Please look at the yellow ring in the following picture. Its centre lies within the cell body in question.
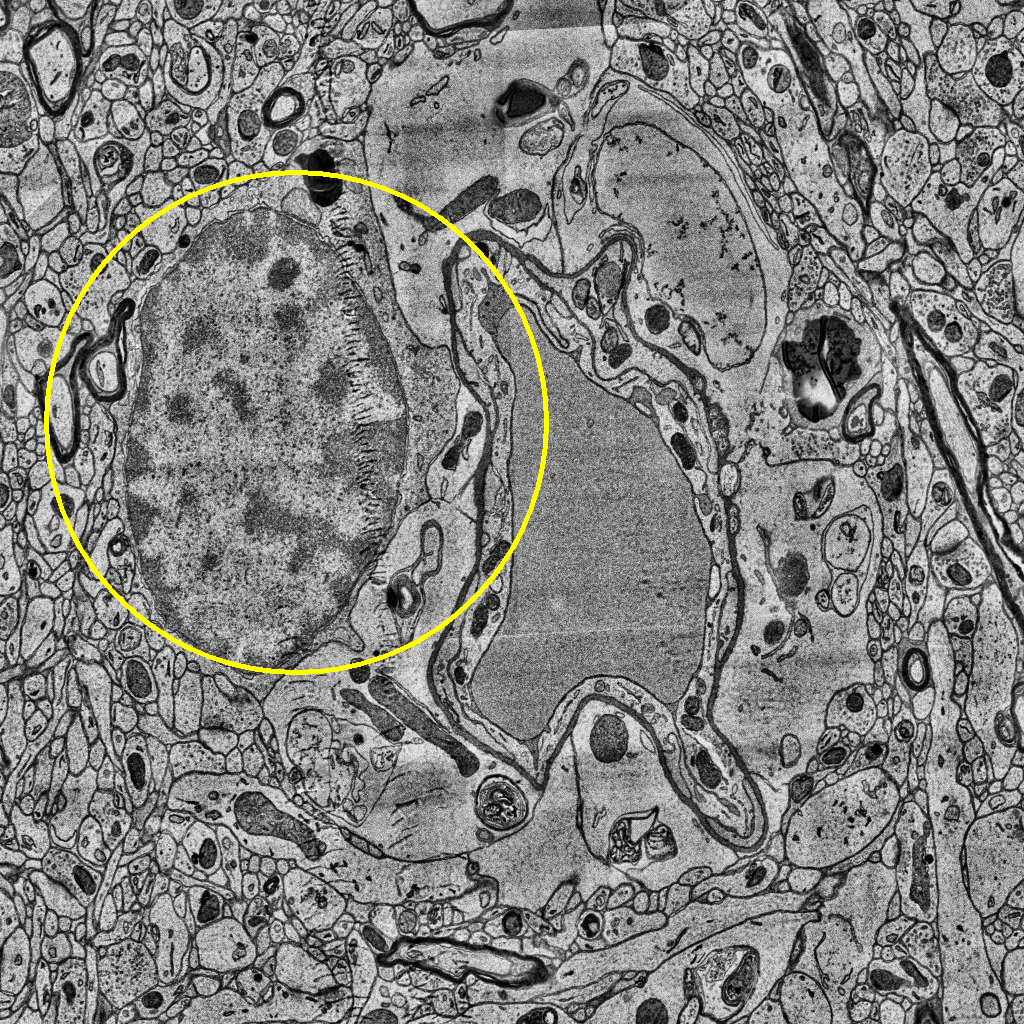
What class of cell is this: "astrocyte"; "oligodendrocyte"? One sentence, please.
The centre of the ring lies in the cell body of an oligodendrocyte.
